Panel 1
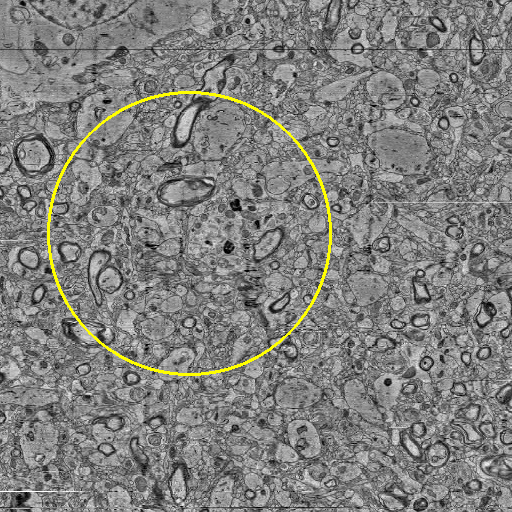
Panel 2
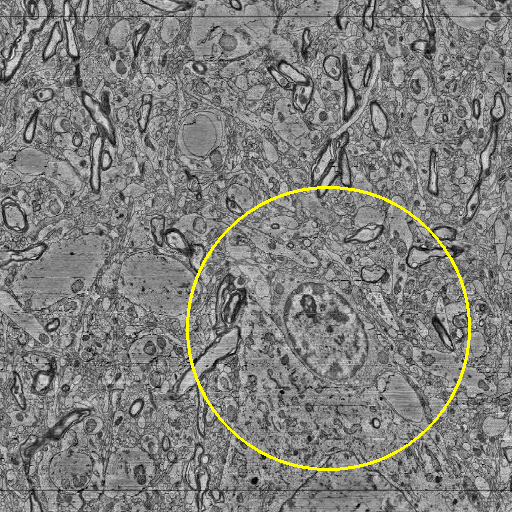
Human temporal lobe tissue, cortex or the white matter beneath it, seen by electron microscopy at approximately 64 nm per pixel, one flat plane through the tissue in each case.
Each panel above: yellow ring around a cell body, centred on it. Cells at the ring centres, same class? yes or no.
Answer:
no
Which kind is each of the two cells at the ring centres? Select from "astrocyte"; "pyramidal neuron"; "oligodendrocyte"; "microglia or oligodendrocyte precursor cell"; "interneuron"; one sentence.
The cell at the centre of the ring is a microglial cell or oligodendrocyte precursor cell in the first picture and an oligodendrocyte in the second.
